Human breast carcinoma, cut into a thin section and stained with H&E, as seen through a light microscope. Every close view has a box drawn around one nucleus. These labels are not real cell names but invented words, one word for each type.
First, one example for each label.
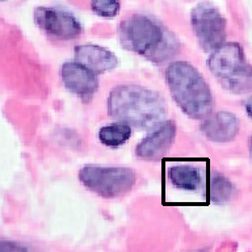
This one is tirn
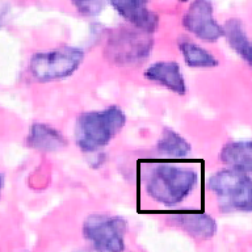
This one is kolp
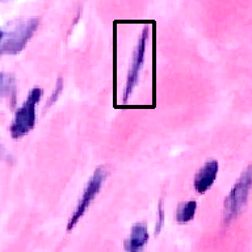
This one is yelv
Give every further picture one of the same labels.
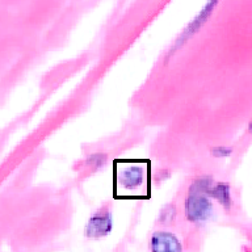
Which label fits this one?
tirn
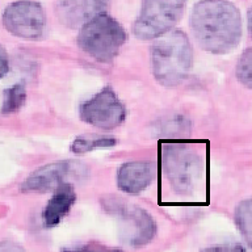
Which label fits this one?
kolp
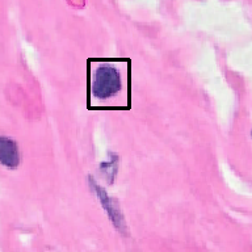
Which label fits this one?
tirn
